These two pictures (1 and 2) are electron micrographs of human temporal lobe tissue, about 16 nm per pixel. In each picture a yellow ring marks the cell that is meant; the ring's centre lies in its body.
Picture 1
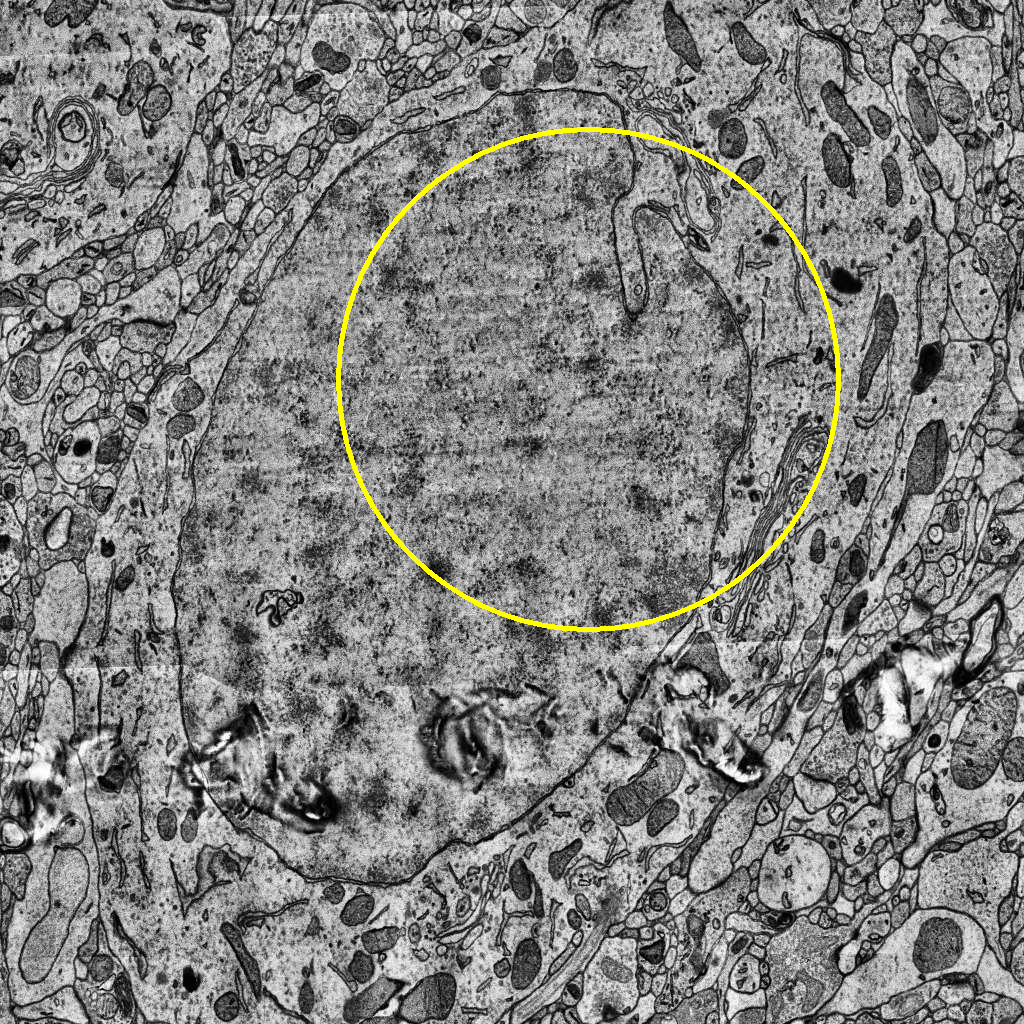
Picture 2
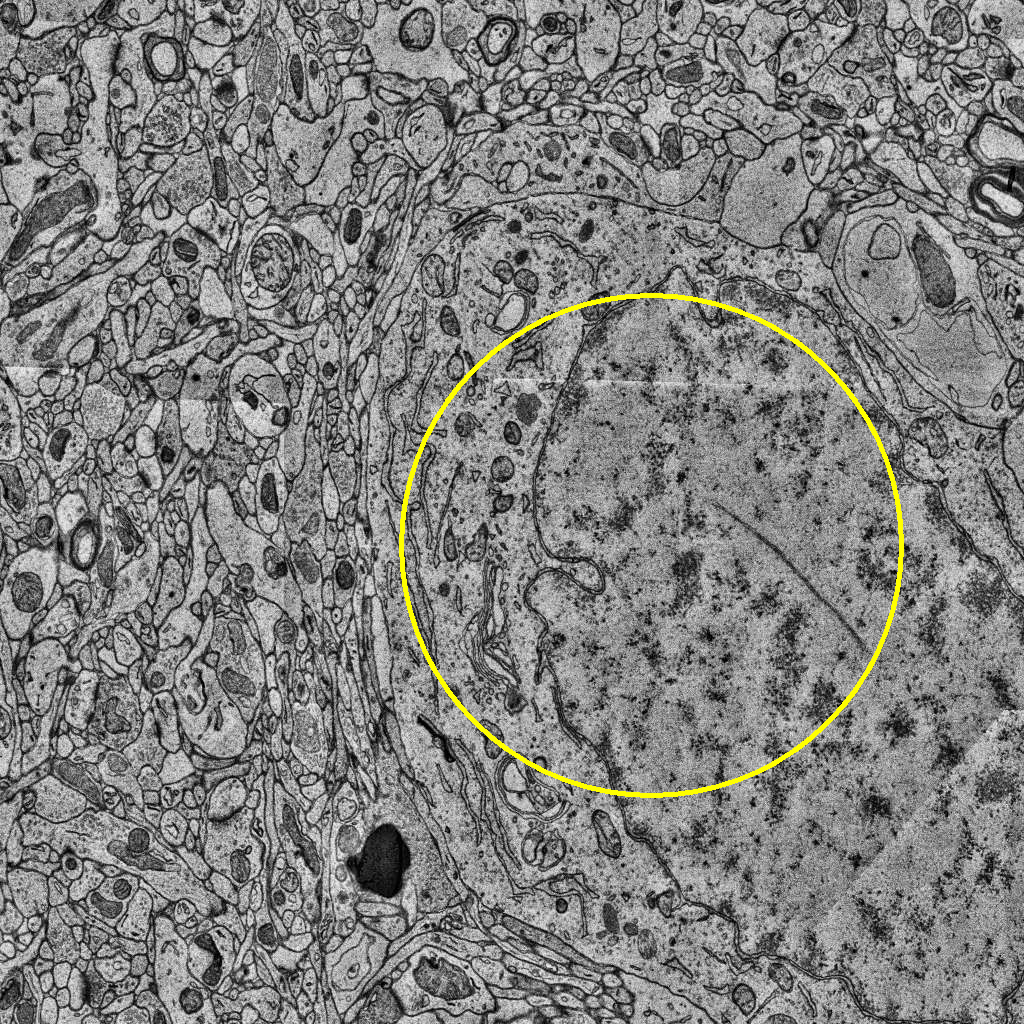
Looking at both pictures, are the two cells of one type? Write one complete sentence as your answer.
Yes, the two pictures both show interneurons.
